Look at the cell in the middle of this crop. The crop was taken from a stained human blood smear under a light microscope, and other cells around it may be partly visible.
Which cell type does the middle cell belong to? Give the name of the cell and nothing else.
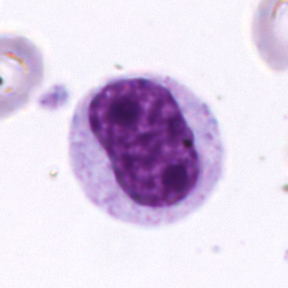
metamyelocyte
